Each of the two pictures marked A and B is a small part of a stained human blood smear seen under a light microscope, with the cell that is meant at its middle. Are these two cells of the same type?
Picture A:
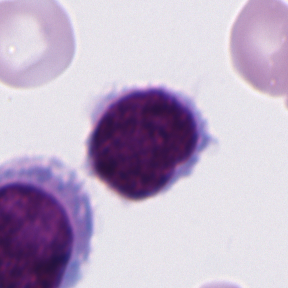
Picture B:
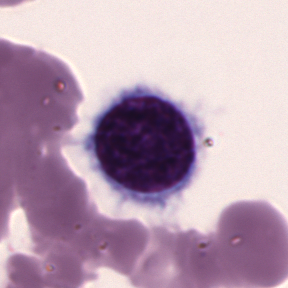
yes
